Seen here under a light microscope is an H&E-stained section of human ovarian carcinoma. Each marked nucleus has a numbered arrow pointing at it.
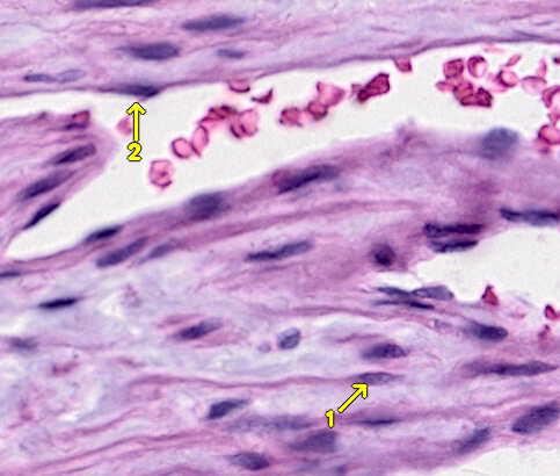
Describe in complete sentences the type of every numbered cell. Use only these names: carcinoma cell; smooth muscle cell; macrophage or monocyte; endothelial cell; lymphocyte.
Cell 1 is a smooth muscle cell and cell 2 is an endothelial cell.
